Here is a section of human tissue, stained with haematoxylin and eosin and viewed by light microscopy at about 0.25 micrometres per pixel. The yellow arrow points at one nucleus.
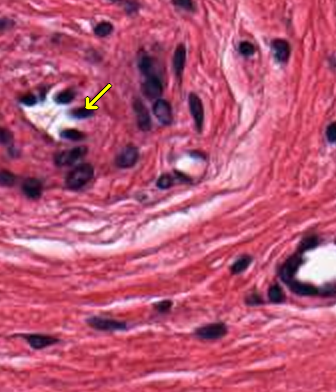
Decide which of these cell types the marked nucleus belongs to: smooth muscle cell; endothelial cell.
endothelial cell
